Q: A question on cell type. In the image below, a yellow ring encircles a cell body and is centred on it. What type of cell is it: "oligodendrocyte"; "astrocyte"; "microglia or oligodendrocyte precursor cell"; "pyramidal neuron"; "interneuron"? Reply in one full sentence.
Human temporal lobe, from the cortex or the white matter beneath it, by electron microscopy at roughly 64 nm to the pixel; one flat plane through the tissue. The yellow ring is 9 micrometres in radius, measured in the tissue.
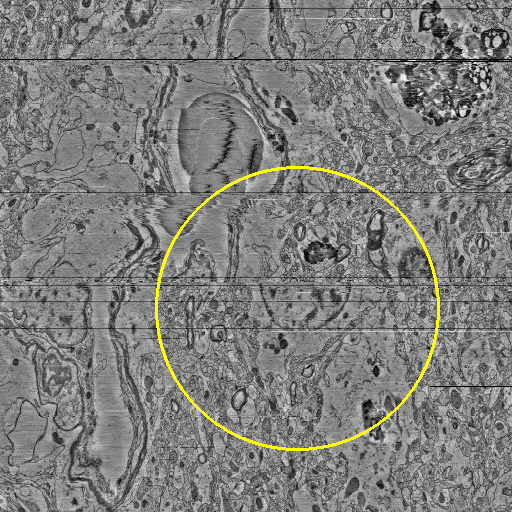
It is an astrocyte whose cell body sits at the centre of the yellow ring in the image.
